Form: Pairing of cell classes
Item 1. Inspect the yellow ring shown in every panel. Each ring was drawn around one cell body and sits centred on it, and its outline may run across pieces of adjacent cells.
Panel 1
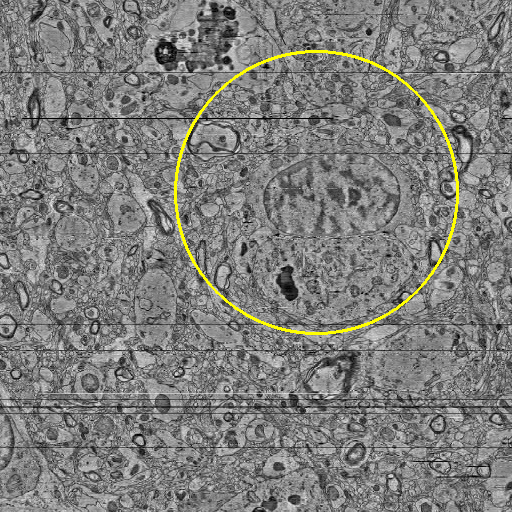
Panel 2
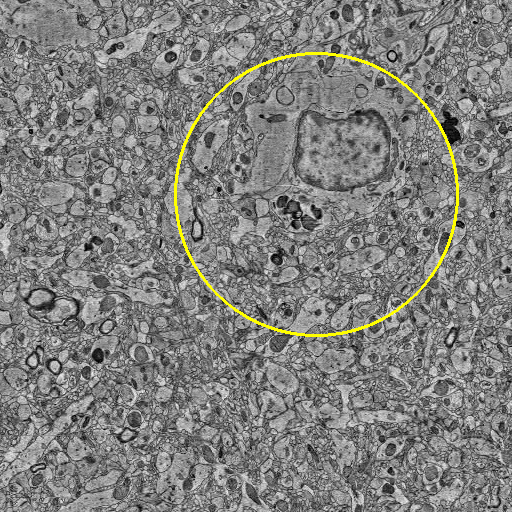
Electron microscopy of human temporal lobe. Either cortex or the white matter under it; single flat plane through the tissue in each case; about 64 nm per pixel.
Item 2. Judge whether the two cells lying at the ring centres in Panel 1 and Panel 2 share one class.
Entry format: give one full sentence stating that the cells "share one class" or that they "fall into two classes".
The cells at the ring centres in Panel 1 and Panel 2 fall into two classes.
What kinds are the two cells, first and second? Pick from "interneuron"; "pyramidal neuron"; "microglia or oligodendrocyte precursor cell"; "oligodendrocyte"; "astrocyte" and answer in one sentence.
The second picture holds a microglial cell or oligodendrocyte precursor cell in its ring, and the first holds an oligodendrocyte.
